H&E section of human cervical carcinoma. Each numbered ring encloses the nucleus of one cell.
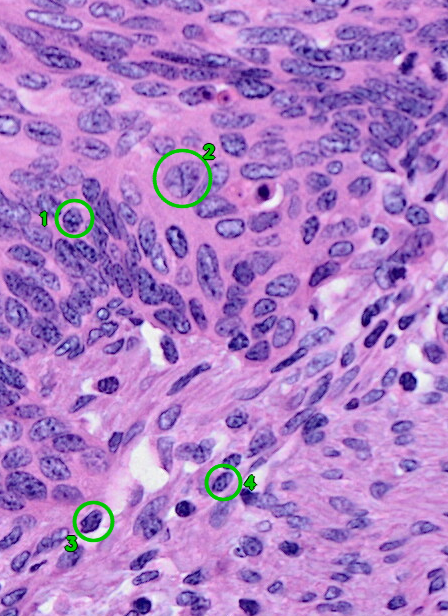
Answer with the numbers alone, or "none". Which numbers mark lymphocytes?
3, 4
